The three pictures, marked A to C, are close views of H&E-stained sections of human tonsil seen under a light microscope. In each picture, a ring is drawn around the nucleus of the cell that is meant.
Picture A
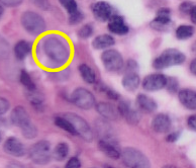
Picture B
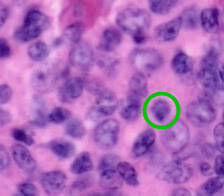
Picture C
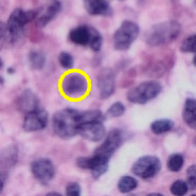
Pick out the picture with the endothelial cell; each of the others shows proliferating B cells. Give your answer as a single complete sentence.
It is picture A that shows the endothelial cell.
